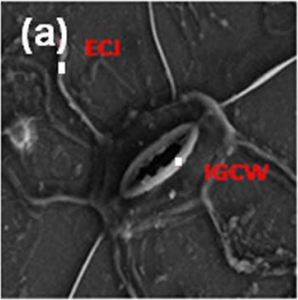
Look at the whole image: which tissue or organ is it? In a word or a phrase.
Epidermis.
